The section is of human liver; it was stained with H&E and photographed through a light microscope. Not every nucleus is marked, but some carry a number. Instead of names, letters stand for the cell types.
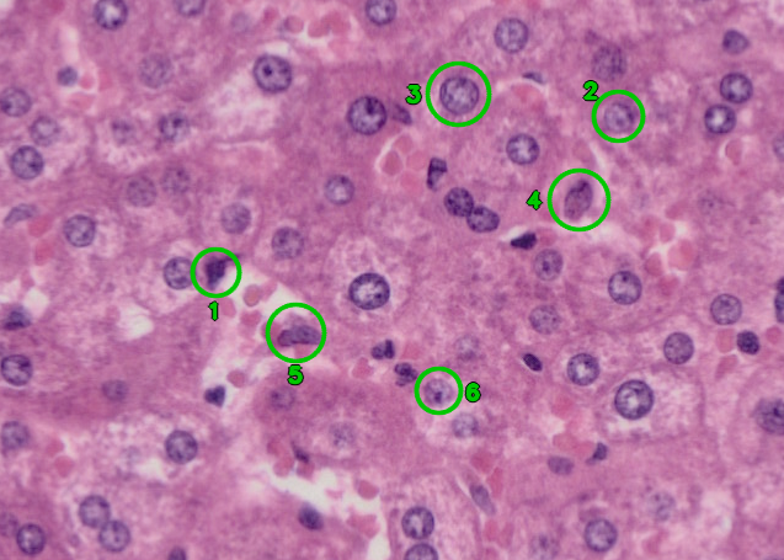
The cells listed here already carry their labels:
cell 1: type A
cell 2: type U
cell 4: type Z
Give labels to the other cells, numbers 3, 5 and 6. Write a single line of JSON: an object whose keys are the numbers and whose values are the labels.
{"3": "type U", "5": "type Z", "6": "type U"}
